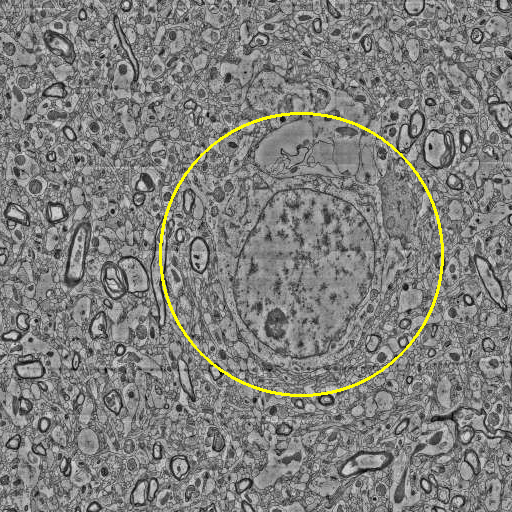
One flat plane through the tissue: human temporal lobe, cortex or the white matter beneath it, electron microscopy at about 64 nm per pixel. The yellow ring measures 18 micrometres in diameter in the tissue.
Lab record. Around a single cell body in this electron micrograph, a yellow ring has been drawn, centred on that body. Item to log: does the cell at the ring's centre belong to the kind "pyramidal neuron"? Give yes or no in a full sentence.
Yes, in the micrograph, the ringed cell at the centre belongs to that kind.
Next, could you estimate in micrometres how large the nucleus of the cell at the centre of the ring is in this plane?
In this plane the nucleus measures roughly 11 by 9 micrometers.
